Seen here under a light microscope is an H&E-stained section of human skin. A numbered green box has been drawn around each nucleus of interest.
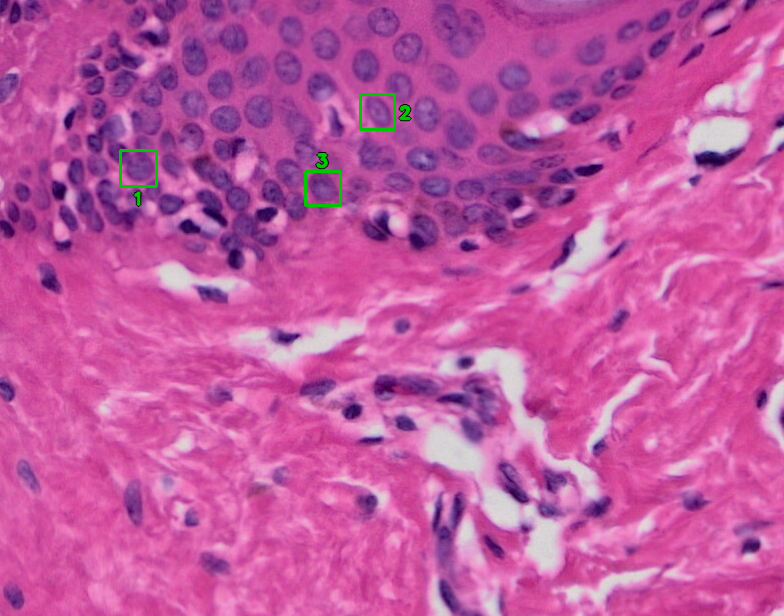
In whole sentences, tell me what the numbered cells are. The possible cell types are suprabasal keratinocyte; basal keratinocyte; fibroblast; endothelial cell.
Cell 1 is a basal keratinocyte, cell 2 is a suprabasal keratinocyte and cell 3 is a basal keratinocyte.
